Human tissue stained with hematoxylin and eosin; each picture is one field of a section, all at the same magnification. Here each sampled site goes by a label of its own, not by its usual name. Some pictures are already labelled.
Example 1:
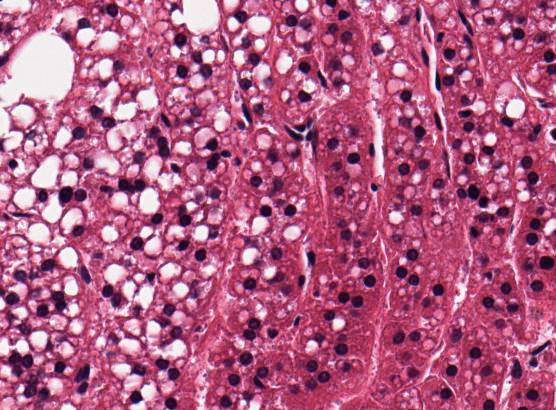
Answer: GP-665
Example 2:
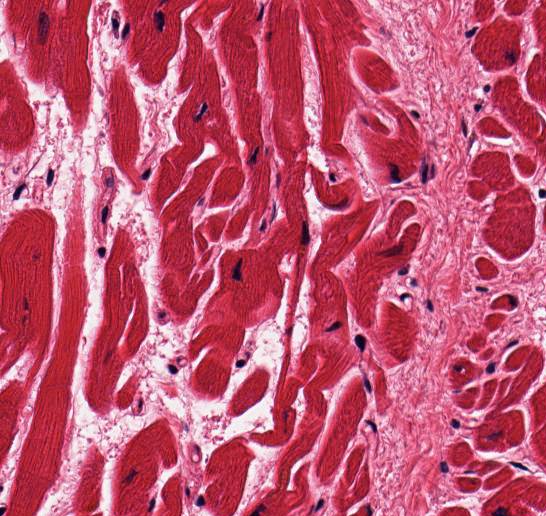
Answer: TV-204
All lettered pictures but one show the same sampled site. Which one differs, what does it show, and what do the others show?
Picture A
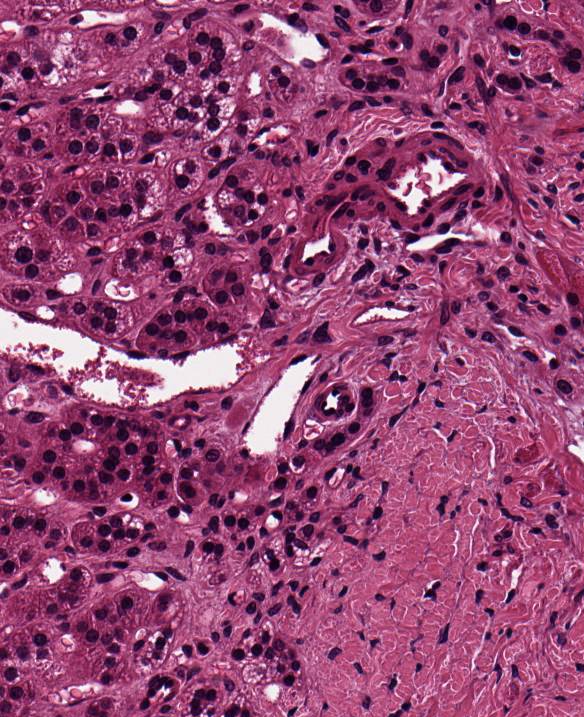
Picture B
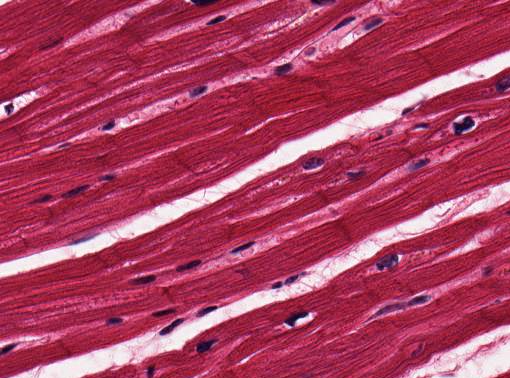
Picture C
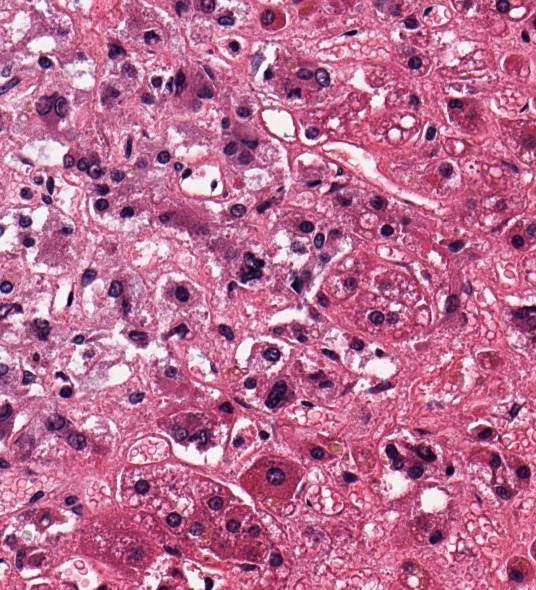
Picture B: TV-204. All others: GP-665.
